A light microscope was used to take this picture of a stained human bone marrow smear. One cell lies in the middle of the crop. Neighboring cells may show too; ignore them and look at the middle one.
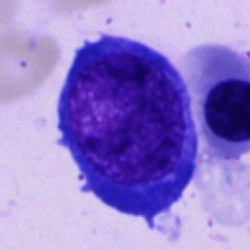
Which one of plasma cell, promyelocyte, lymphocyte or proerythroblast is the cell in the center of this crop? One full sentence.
The cell found in the middle of this crop is a proerythroblast.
